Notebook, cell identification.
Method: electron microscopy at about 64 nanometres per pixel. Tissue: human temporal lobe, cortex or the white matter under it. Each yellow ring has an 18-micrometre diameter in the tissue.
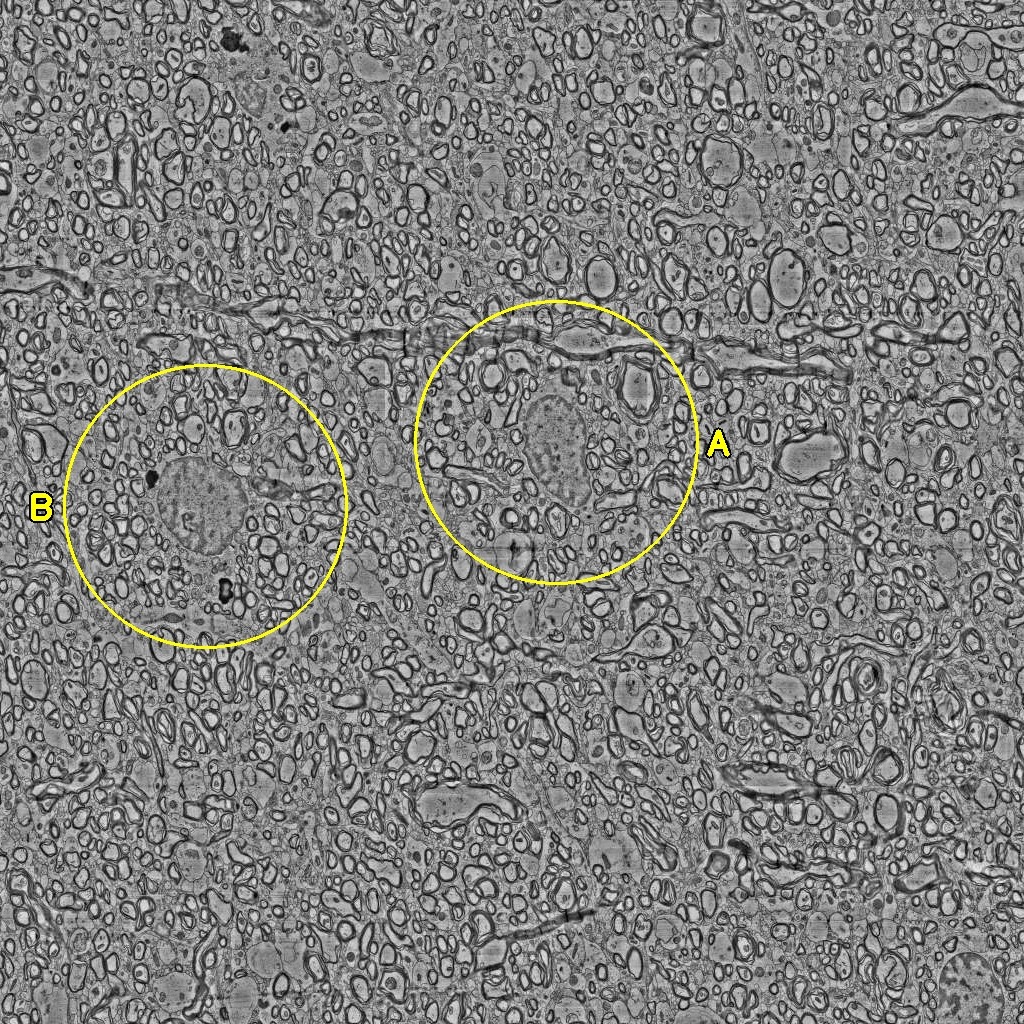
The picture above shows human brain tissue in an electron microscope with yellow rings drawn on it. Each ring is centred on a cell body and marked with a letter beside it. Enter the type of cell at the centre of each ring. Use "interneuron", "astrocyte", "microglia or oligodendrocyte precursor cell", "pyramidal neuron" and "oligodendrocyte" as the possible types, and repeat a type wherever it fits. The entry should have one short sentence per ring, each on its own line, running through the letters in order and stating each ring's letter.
The cell body in ring A belongs to an oligodendrocyte.
The cell body in ring B belongs to an oligodendrocyte.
